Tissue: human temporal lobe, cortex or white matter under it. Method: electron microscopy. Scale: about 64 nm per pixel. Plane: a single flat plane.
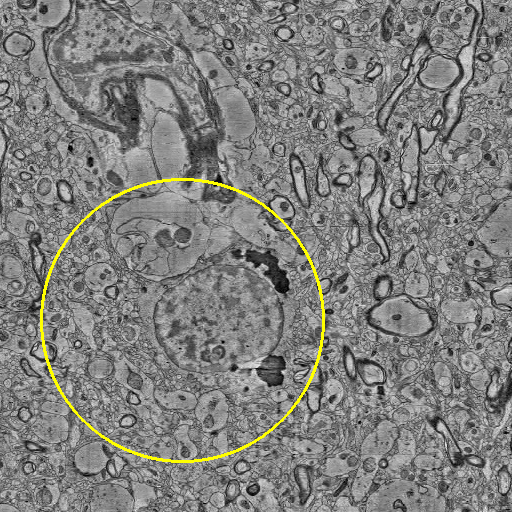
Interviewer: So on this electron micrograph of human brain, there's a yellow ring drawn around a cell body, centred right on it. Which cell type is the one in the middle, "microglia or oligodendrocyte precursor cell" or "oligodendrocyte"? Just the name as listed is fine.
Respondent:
oligodendrocyte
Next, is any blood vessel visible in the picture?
Yes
